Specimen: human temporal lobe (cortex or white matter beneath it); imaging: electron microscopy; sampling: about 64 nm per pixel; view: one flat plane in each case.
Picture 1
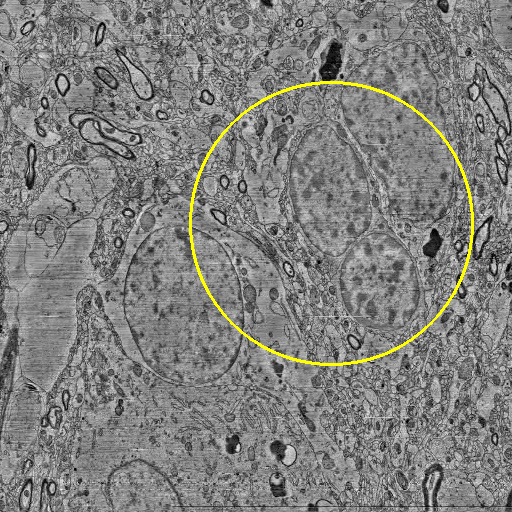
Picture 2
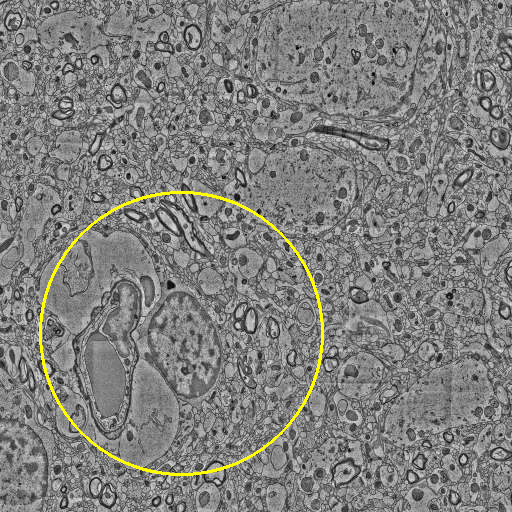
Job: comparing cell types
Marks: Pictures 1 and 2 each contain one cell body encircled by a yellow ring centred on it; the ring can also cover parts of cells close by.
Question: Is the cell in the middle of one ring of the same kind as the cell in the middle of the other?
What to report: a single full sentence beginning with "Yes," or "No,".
Yes, the cell at the ring centre in Picture 1 and its partner in Picture 2 are of one kind.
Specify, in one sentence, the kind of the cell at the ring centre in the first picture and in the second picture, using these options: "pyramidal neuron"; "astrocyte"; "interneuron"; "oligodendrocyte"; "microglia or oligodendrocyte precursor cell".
Each cell, in the first picture and the second, is an oligodendrocyte.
